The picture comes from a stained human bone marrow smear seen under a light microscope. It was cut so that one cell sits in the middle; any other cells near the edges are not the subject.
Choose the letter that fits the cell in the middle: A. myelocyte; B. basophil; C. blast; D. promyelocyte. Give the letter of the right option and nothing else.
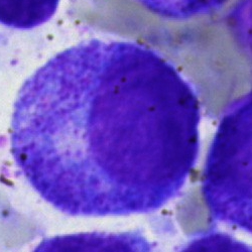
D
